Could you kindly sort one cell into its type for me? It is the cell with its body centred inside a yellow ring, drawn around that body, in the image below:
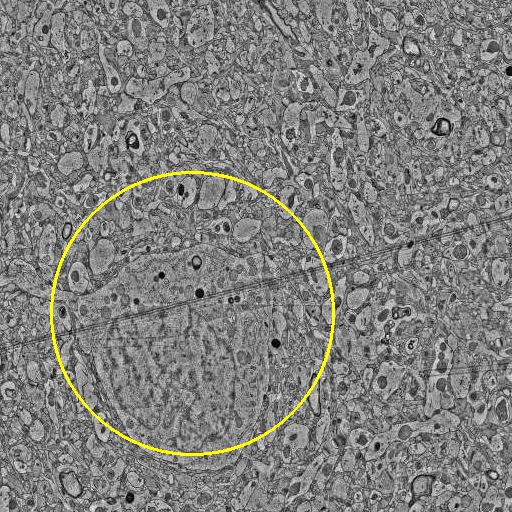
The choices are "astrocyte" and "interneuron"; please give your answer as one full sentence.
The cell whose body lies centred in the yellow ring here is an interneuron.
